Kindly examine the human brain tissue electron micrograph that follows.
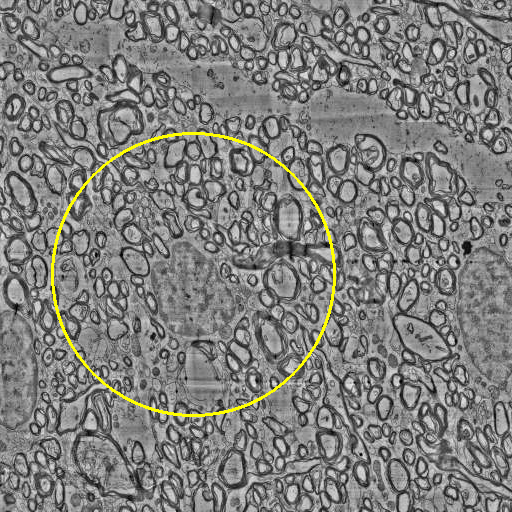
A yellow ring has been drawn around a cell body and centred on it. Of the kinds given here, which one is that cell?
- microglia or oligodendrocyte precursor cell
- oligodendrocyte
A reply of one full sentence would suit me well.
The micrograph's ringed cell, the one at the ring's centre, is an oligodendrocyte.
